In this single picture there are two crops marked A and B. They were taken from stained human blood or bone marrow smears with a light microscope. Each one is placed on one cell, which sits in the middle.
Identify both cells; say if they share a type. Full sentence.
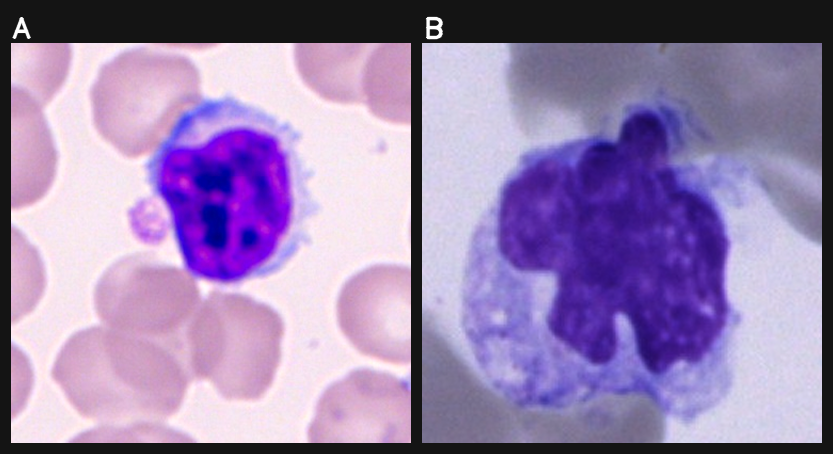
No, a lymphocyte is the cell in crop A; a monocyte is the cell in crop B.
